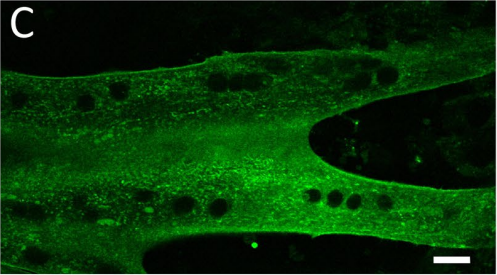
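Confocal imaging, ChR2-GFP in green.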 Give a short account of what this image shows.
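These are broad, elongated myotubes filled with green fluorescence, extending beyond the edges of the frame. Within one continuous cytoplasm lie several round, dark, unlabelled nuclei, often in short rows along the cell's long axis. The fluorescence is finely granular throughout and somewhat brighter along the cell borders. Dark background separates the neighbouring tubes.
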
